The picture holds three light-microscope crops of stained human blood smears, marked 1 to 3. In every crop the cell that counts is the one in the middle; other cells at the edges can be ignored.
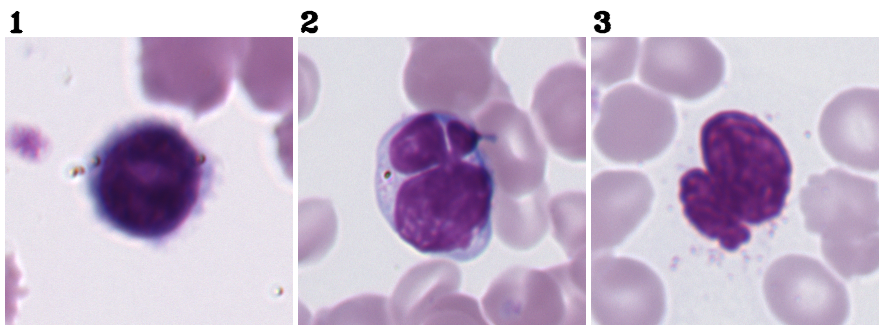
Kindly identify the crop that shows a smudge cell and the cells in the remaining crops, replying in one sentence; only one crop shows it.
The centred cell in crop 3 is a smudge cell; meanwhile, crop 1 is a hairy cell and crop 2 is a large granular lymphocyte.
